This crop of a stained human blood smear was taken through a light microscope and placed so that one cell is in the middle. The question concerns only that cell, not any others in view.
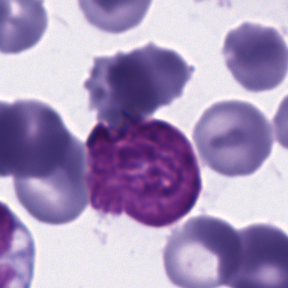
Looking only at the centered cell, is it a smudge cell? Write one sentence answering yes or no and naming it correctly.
Yes, in the centre of this field sits a smudge cell.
